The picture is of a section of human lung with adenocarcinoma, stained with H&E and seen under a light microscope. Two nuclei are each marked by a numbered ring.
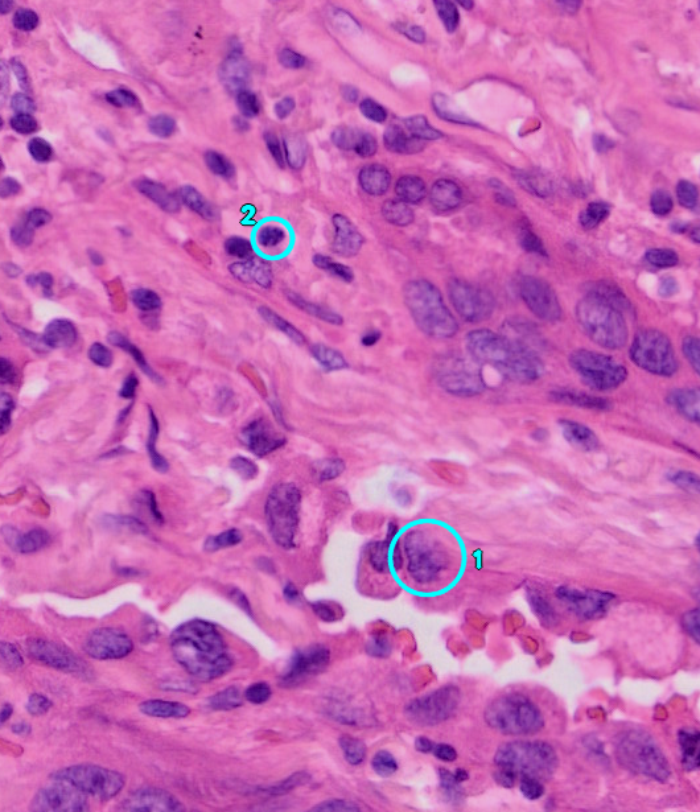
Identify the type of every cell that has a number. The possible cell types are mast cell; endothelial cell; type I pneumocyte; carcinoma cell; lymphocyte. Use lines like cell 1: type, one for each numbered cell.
cell 1: carcinoma cell
cell 2: lymphocyte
